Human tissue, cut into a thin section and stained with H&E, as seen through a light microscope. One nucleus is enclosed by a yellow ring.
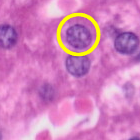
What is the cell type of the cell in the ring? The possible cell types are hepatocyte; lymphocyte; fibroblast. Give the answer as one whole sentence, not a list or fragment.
Typologically, the cell in the ring is a hepatocyte in this section.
